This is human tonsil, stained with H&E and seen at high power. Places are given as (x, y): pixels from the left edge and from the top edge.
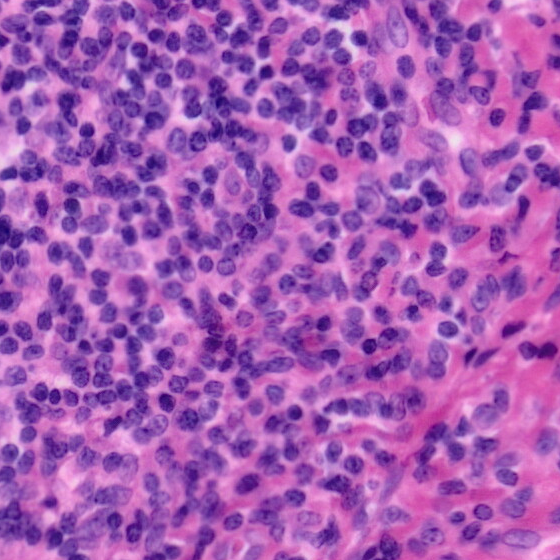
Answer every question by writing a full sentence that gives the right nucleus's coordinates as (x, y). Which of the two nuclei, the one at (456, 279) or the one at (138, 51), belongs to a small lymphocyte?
Of the two options, the nucleus at (138, 51) is the one that belongs to a small lymphocyte.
